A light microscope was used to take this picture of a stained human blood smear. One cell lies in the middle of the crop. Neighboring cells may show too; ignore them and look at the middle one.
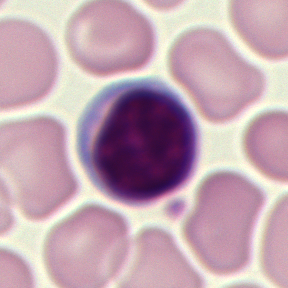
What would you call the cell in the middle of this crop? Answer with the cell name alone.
typical lymphocyte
